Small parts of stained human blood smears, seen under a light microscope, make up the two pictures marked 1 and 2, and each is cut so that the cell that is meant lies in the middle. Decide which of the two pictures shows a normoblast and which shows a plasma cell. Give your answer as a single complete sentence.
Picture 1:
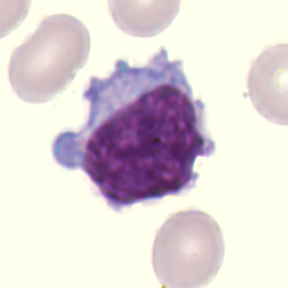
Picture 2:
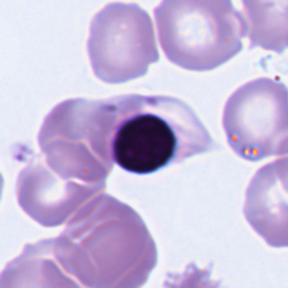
Picture 2 shows a normoblast, while picture 1 shows a plasma cell.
